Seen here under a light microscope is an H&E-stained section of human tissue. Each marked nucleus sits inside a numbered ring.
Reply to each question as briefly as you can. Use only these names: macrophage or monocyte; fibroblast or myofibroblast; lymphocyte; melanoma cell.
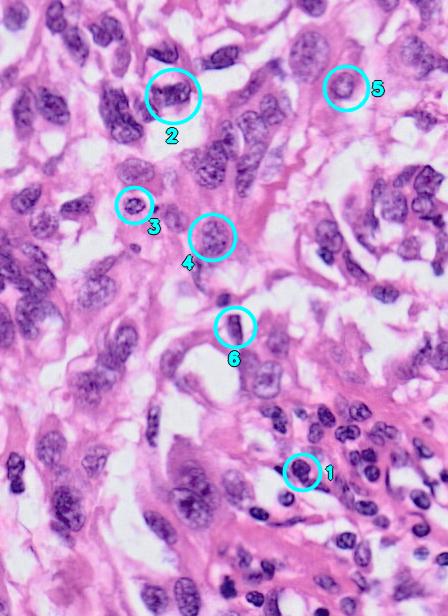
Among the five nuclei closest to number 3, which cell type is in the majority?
melanoma cell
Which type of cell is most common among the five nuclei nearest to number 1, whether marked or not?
macrophage or monocyte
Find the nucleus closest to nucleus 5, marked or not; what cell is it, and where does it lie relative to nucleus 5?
a melanoma cell, above and to the left of nucleus 5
